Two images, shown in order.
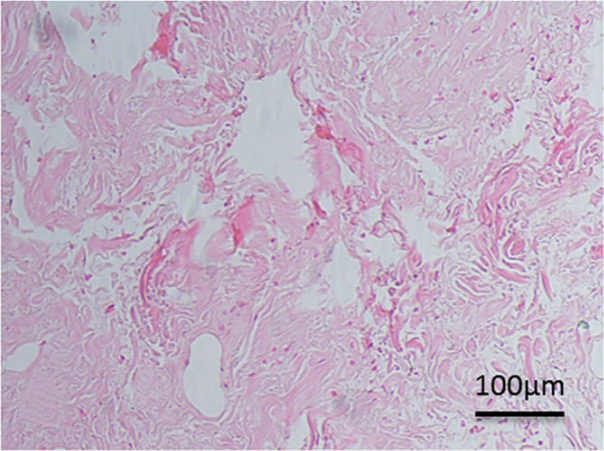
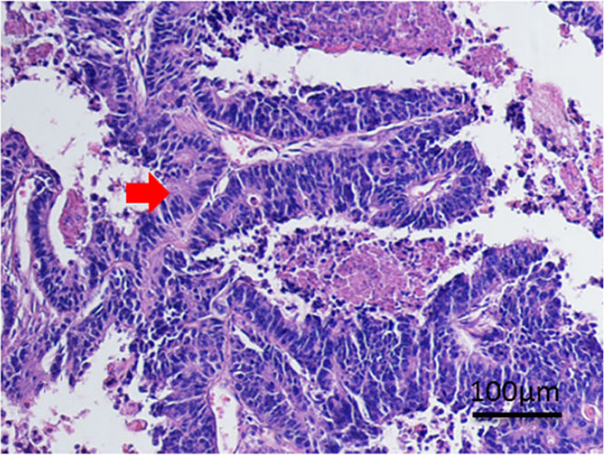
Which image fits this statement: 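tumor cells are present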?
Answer: the second image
